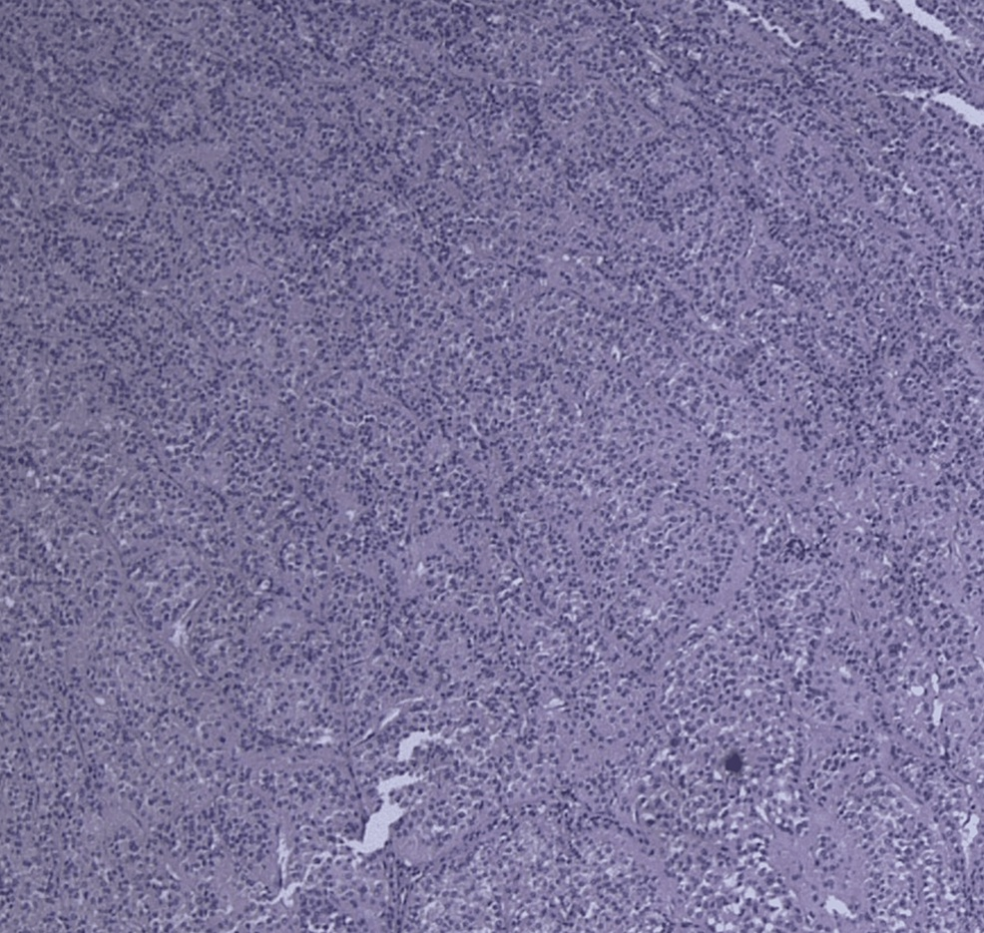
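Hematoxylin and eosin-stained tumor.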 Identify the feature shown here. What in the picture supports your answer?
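Nests. Tumor cells form rounded to irregular groups. Thin pale strands of stroma outline the groups.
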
